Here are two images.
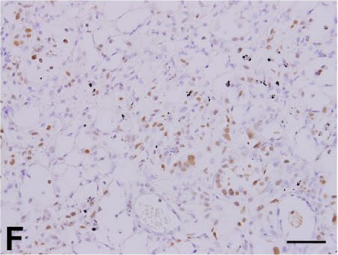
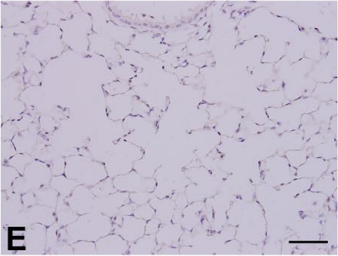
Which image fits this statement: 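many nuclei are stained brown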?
The first image.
